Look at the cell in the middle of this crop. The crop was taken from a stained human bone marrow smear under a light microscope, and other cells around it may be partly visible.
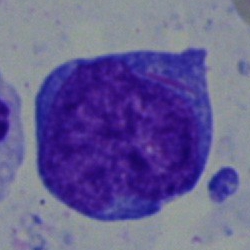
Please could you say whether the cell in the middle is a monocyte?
no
